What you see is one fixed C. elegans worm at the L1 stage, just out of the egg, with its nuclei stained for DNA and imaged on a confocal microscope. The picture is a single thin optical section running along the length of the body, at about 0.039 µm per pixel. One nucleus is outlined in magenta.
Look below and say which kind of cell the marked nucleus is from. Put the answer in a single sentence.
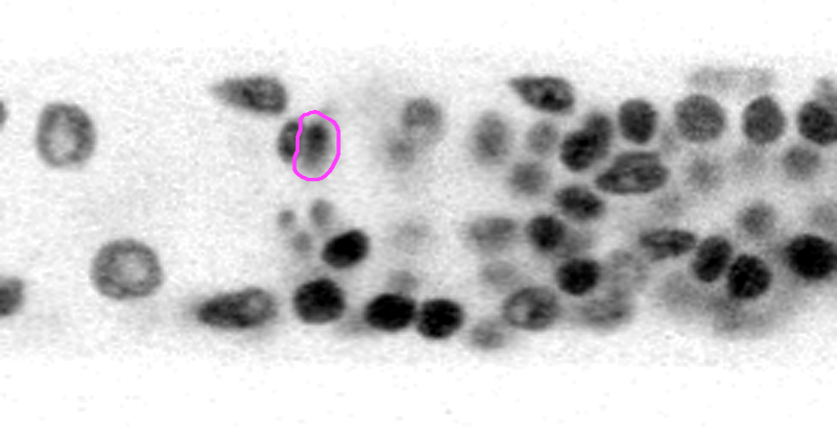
The marked nucleus is that of a valve cell of the gut.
